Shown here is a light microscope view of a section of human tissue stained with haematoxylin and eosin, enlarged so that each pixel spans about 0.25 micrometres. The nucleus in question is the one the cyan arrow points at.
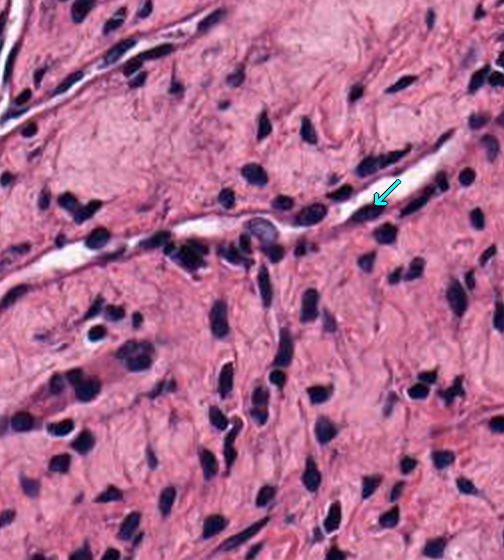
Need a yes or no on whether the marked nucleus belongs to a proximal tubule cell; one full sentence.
No, it is to a supporting cell that the marked nucleus belongs, not to a proximal tubule cell.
